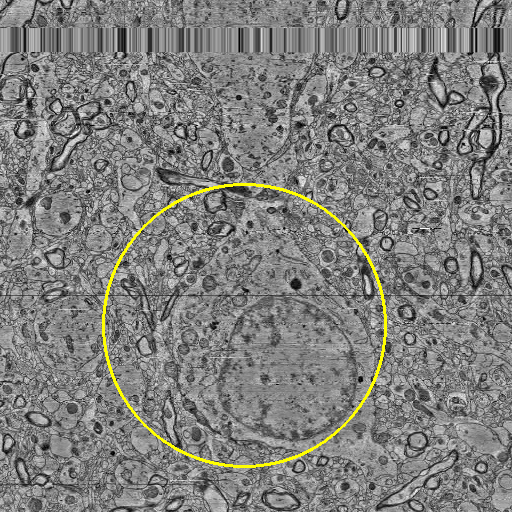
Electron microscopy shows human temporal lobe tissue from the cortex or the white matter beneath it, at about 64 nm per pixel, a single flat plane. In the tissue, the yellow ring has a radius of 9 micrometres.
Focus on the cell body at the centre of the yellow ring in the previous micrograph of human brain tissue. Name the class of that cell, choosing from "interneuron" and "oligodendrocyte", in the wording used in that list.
interneuron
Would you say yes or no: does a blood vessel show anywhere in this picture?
No, no vessel appears in the picture.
